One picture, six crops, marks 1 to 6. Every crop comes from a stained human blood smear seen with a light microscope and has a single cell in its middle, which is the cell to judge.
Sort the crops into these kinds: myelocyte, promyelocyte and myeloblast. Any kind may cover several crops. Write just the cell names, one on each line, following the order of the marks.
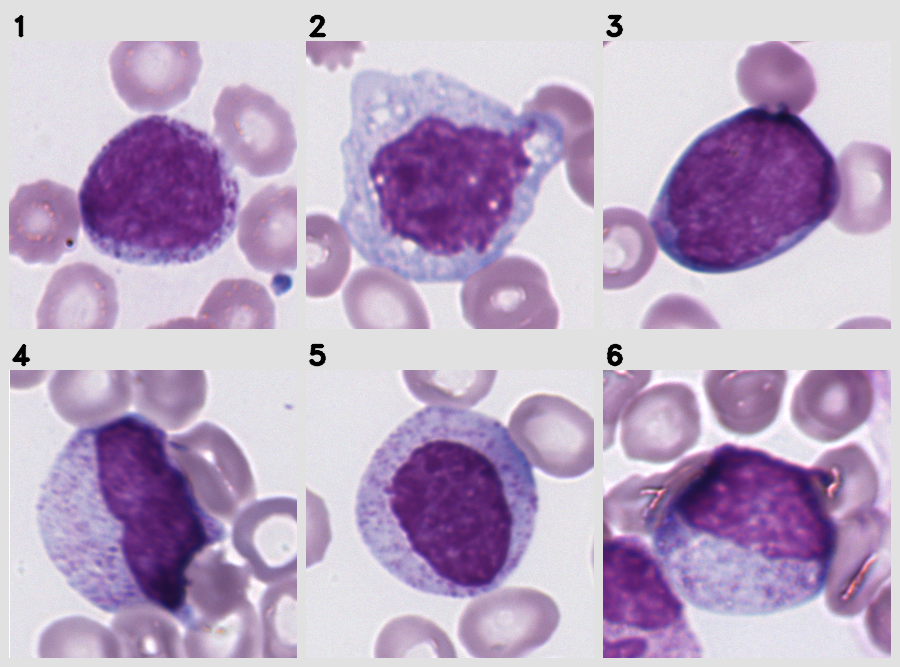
myelocyte
myeloblast
myeloblast
myelocyte
myelocyte
myelocyte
